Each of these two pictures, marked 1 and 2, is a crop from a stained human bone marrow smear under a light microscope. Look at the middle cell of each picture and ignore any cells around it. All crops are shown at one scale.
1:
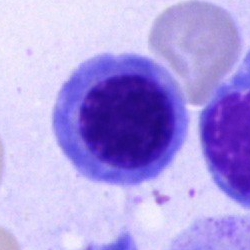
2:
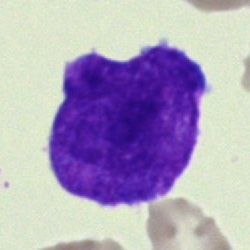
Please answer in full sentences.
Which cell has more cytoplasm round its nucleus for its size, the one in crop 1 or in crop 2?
In crop 1 the nucleus takes up the smaller part of its cell.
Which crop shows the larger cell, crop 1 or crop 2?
It is the cell in crop 2, about 1.5 times as large in area as the cell in crop 1.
